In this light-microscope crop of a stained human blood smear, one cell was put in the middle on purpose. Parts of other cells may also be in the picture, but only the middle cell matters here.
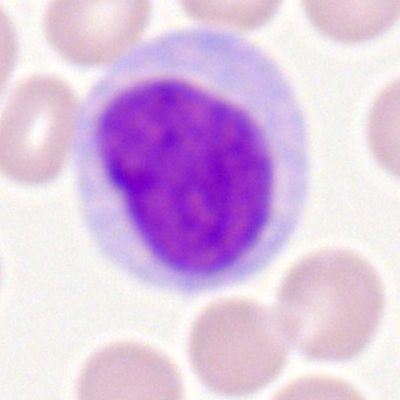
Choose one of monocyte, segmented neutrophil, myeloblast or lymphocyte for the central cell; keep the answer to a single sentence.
As for the cell in the middle, it is a myeloblast.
